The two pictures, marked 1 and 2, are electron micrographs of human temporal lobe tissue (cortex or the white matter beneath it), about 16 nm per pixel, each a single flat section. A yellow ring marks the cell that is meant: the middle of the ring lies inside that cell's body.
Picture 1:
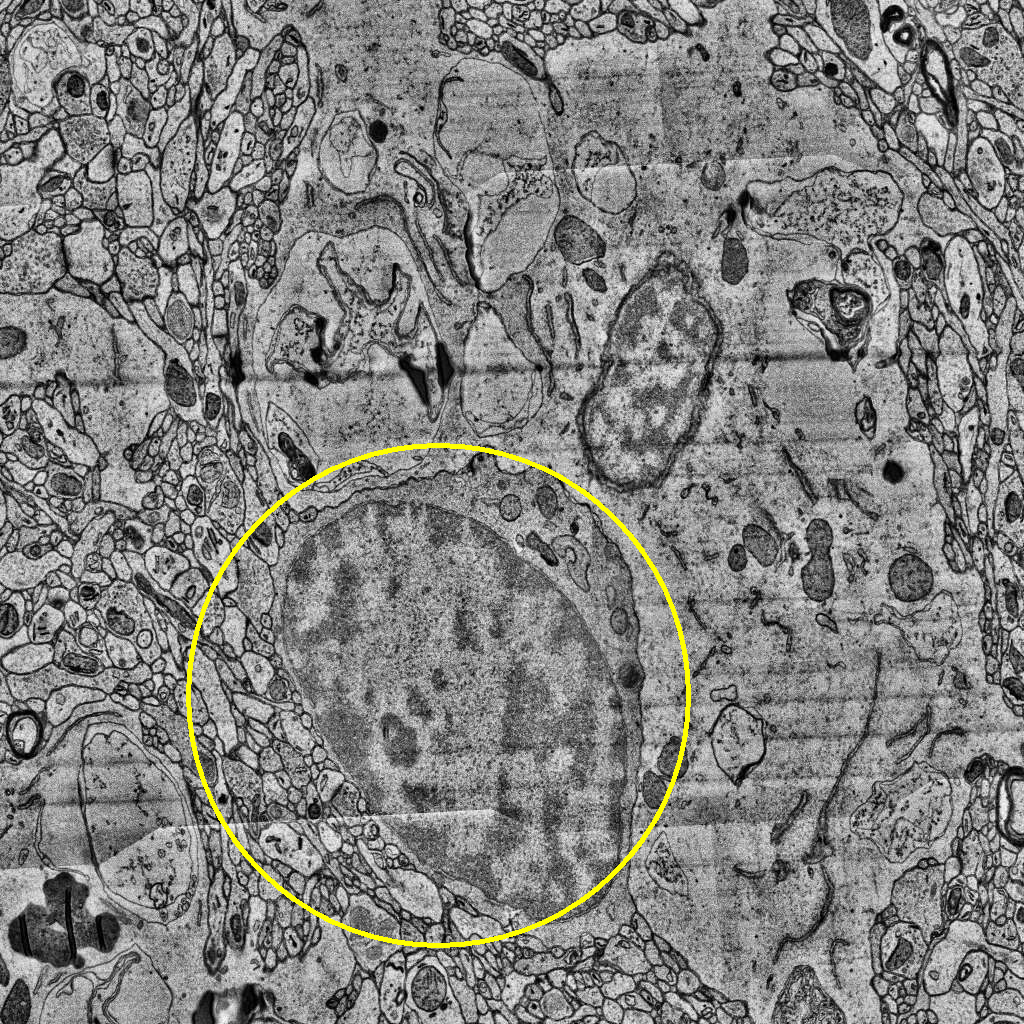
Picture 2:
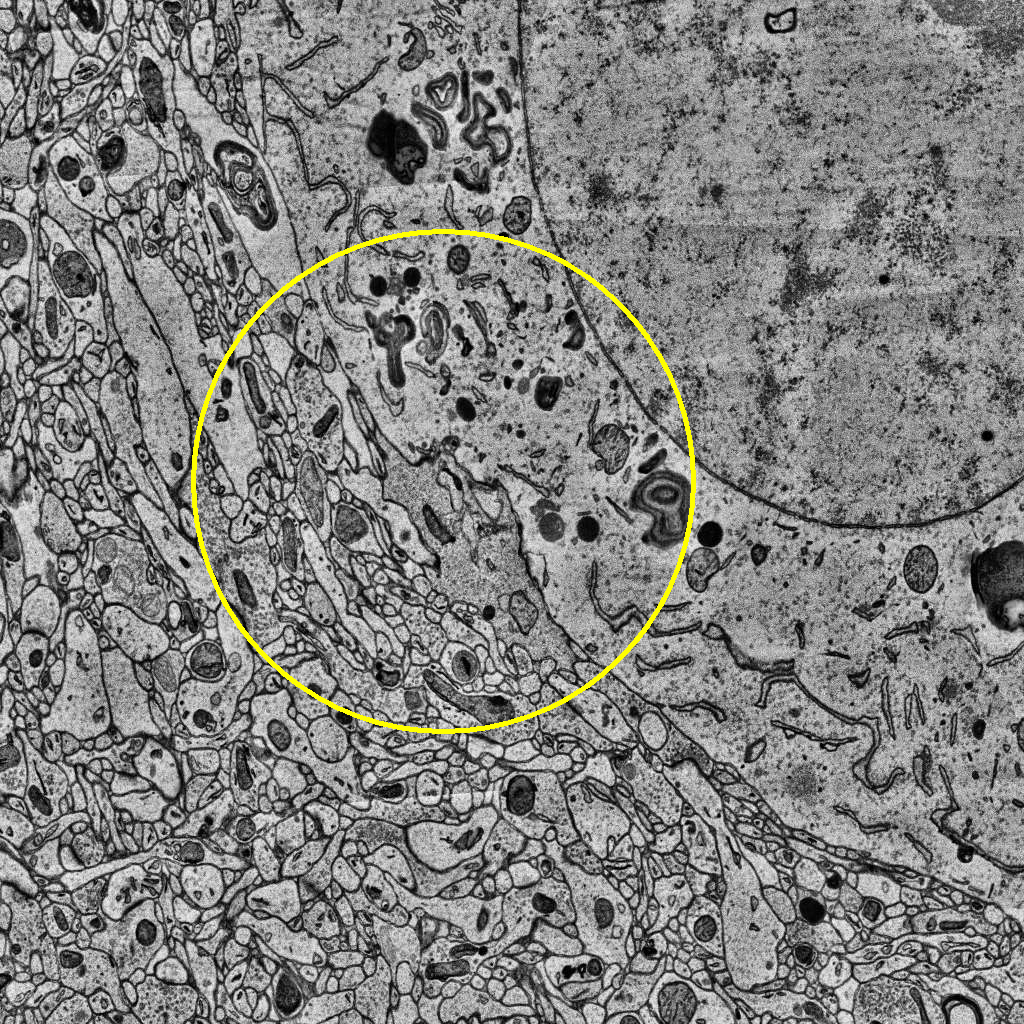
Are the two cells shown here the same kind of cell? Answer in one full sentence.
Yes, the two pictures both show oligodendrocytes.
